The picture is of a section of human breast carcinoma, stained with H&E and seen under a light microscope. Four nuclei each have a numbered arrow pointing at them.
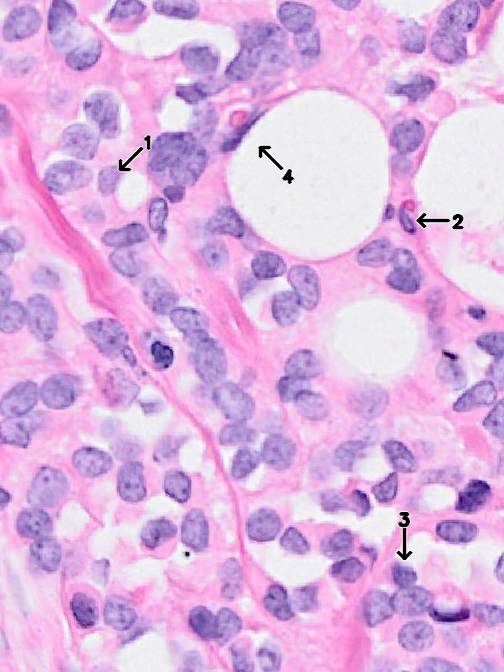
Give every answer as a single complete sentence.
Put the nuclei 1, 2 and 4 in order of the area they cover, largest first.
Largest first, the order by area is 4, 1, 2.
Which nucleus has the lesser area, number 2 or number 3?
Nucleus 2 covers less area, with nucleus 3 about 2 times as large.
